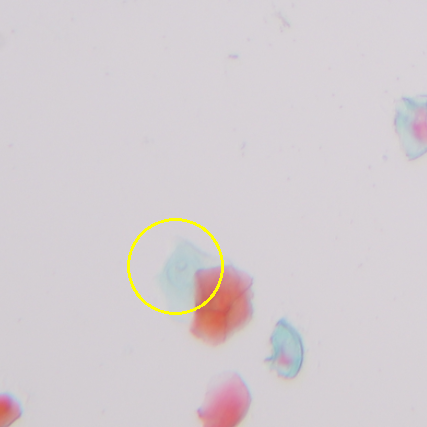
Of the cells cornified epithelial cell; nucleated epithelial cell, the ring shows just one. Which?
The ring shows a cornified epithelial cell.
